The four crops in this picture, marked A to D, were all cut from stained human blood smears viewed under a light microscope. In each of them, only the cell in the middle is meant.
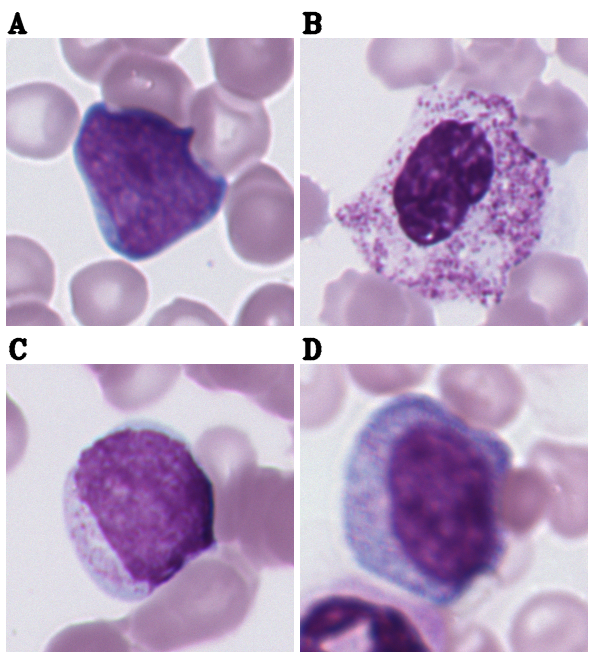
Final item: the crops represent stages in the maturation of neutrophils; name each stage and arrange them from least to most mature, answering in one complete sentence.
The sequence in which maturity rises is crop A (a blast), crop D (a promyelocyte), crop C (a myelocyte) and crop B (a band neutrophil).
